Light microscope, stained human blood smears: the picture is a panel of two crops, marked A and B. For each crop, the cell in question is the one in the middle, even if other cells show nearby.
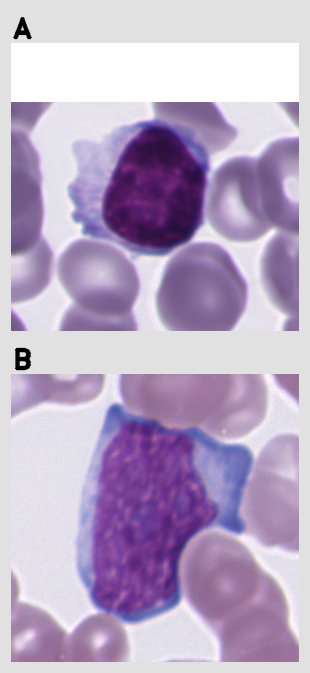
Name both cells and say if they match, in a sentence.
No, crop A offers a typical lymphocyte, while crop B offers a myeloblast.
